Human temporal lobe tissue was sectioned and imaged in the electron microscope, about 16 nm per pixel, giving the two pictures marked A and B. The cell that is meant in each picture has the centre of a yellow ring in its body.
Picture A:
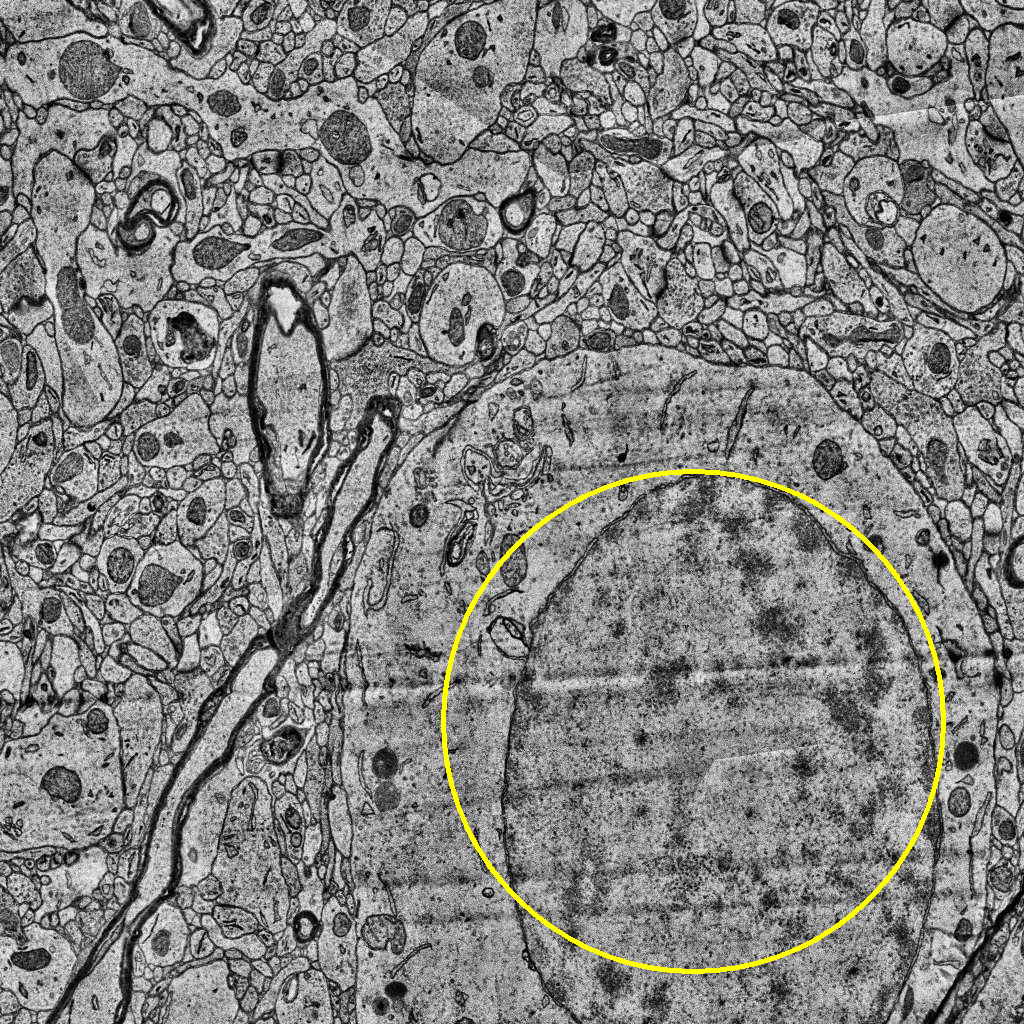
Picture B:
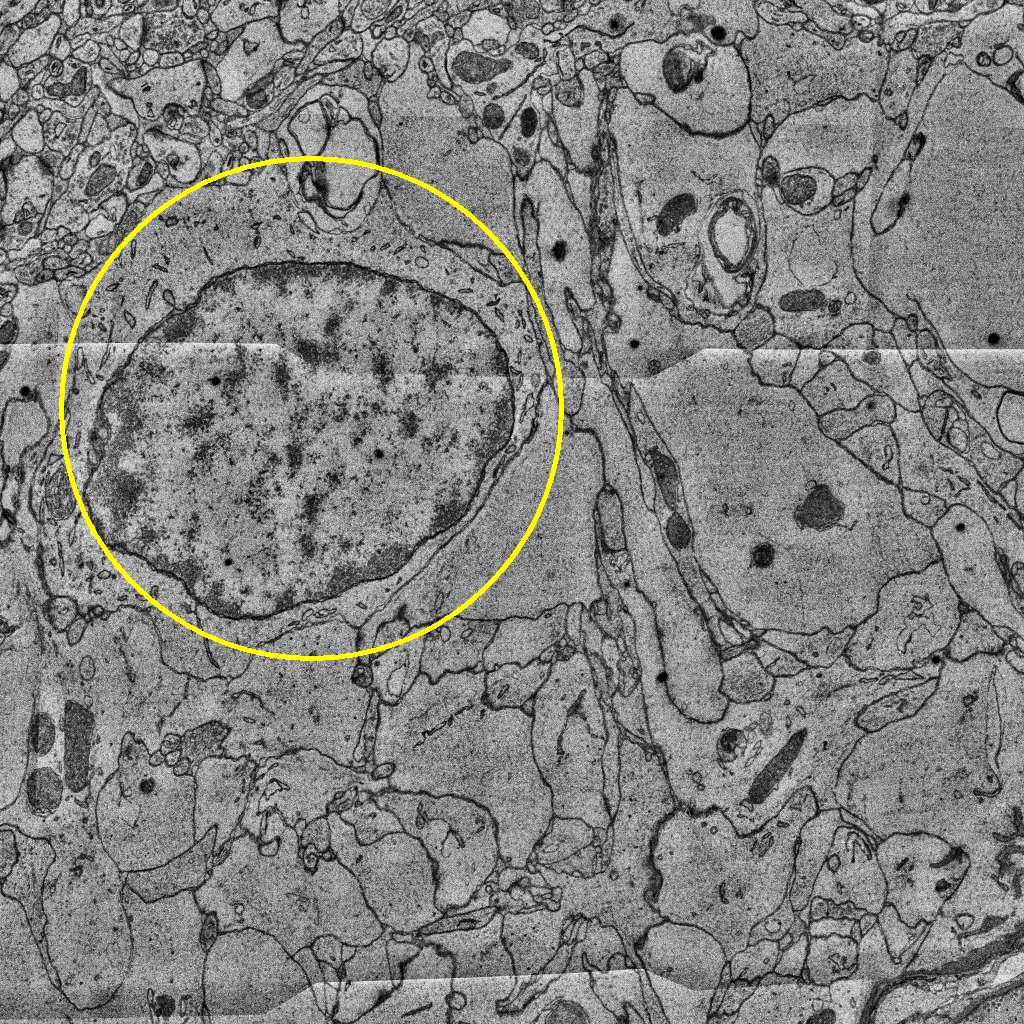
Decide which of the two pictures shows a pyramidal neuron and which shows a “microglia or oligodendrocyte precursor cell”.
It is picture A that shows a pyramidal neuron, and picture B that shows a “microglia or oligodendrocyte precursor cell”.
